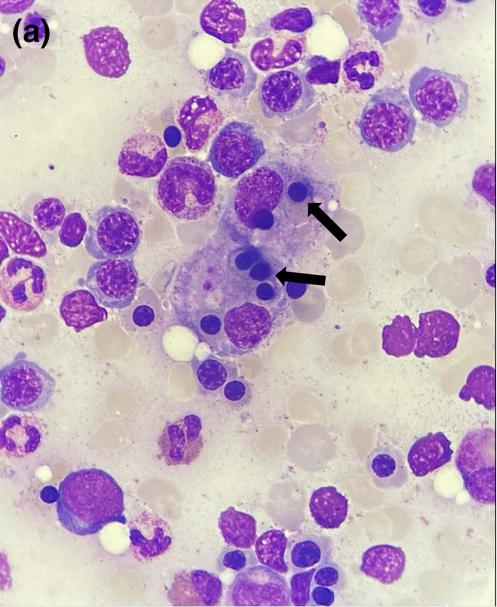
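A bone marrow aspirate shows a large cell with pale, vacuolated cytoplasm containing several small, round, dark erythroid nuclei, a picture of active haemophagocytosis. The surrounding marrow is rich in erythroid precursors at several maturation stages, with round nuclei and bluish cytoplasm, among maturing myeloid cells with segmented or indented nuclei.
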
